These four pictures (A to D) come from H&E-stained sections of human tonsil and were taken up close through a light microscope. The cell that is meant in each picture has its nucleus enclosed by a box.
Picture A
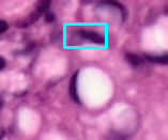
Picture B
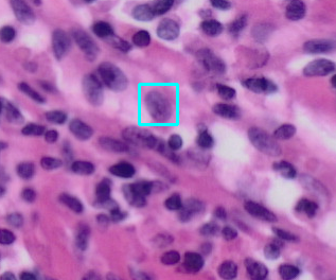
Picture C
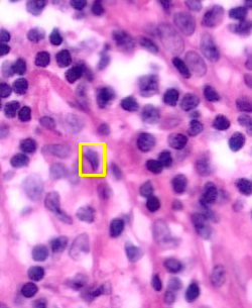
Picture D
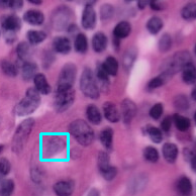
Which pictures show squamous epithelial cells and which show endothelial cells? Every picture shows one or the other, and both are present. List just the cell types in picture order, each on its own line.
squamous epithelial cell
endothelial cell
endothelial cell
endothelial cell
